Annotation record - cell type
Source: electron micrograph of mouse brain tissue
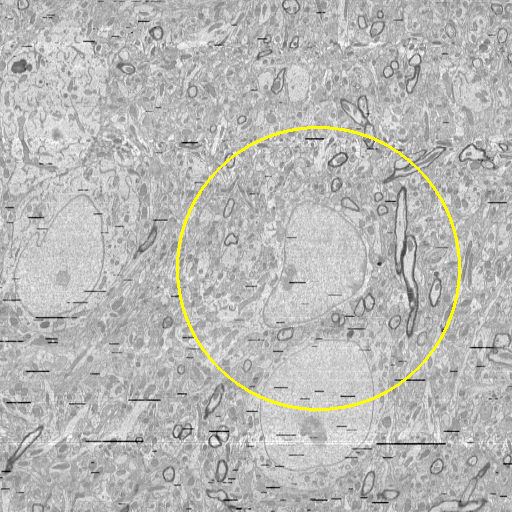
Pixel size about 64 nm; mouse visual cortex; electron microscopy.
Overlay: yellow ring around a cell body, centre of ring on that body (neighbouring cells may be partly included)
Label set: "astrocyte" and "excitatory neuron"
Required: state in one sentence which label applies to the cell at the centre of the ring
This cell should be labelled as an astrocyte.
